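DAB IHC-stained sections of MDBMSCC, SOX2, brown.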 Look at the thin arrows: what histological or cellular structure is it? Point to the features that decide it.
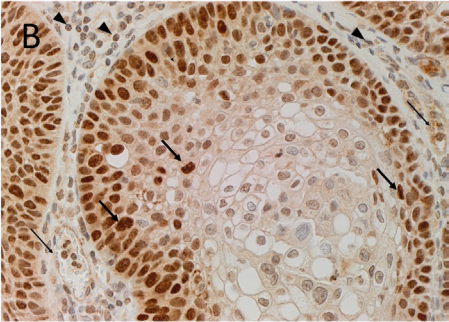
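Endothelium of the microvessels. Thin arrows point at flattened elongated cells lining small lumina in the stroma. These lumina lie between the epithelial nests.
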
